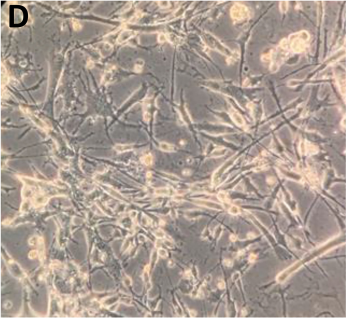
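Long, slender cells taper at both ends and run in various directions, crossing and overlapping to form a loose meshwork. Their bodies appear grey and flat against the dish, with some thin extensions reaching out. Scattered among them are smaller, rounded, bright refractile cells that sit higher on the surface. Compared with a compact sheet of polygonal cells, the arrangement here is open and fibrous-looking, dominated by elongated forms.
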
